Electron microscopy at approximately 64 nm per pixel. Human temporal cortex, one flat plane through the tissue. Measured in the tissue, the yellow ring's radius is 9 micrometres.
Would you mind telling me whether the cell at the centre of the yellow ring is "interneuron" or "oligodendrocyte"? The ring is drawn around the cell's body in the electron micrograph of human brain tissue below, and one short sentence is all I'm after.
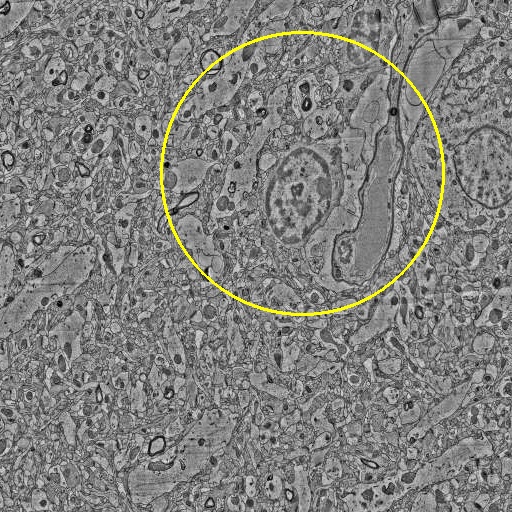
In the centre of the ring lies an oligodendrocyte.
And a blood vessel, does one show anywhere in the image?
Yes, there is one.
